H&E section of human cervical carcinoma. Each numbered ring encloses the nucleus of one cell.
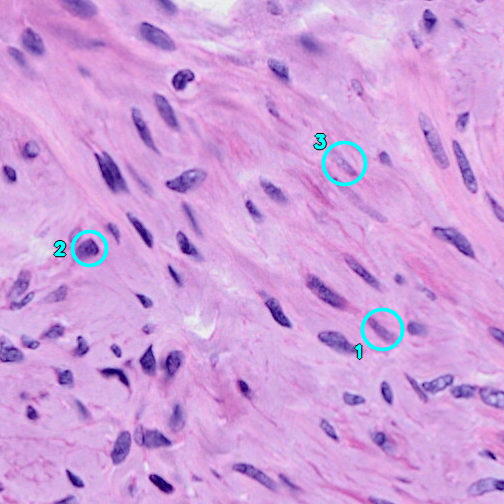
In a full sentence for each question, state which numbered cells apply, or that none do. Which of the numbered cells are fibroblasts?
No marked cell except number 2 is a fibroblast.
